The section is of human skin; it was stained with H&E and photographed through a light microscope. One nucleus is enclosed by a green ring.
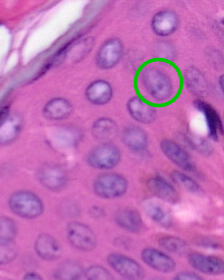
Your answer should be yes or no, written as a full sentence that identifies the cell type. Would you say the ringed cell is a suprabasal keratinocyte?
Yes, the ringed cell is correctly named as a suprabasal keratinocyte.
